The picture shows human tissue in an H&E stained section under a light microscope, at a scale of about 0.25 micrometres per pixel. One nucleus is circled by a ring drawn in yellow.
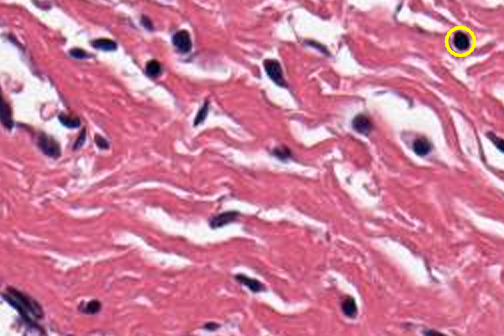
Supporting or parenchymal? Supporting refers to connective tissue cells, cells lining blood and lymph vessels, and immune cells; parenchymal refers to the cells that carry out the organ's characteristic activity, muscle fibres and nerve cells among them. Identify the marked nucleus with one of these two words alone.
supporting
